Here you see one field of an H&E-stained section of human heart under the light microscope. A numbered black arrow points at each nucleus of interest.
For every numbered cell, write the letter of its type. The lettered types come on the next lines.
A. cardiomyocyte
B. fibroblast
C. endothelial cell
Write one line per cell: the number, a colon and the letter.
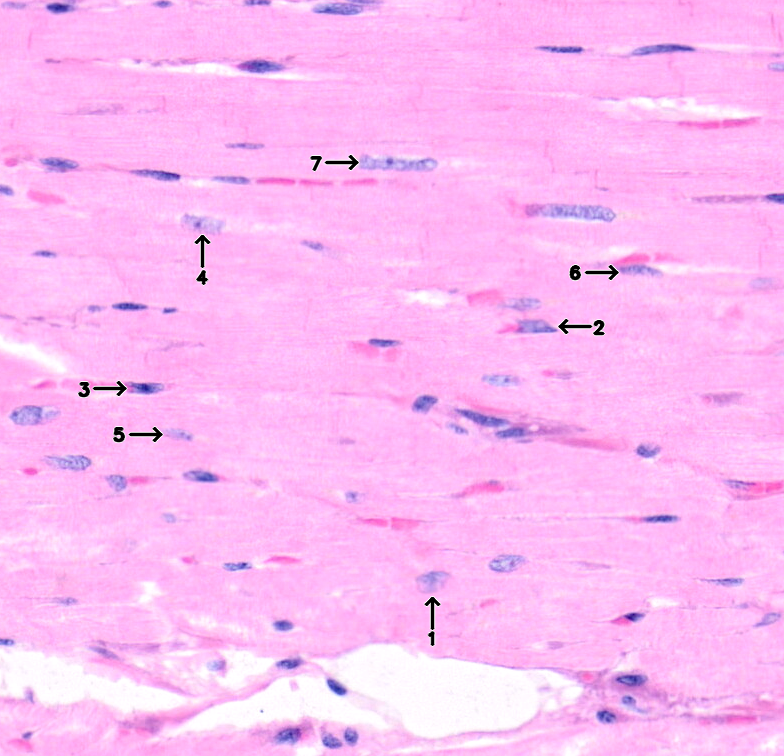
1: A
2: C
3: C
4: A
5: A
6: B
7: A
